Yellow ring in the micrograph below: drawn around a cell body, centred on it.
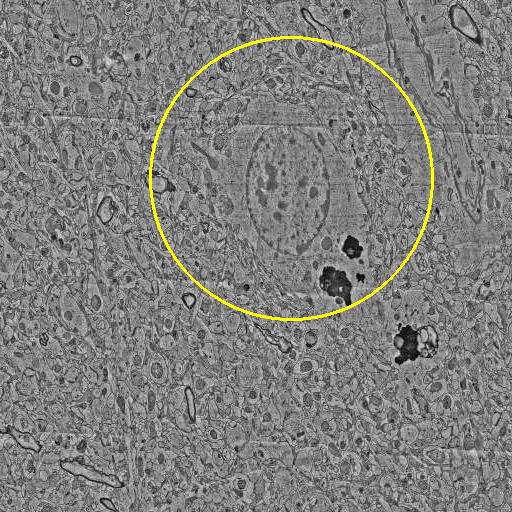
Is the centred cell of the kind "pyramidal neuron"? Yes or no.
no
